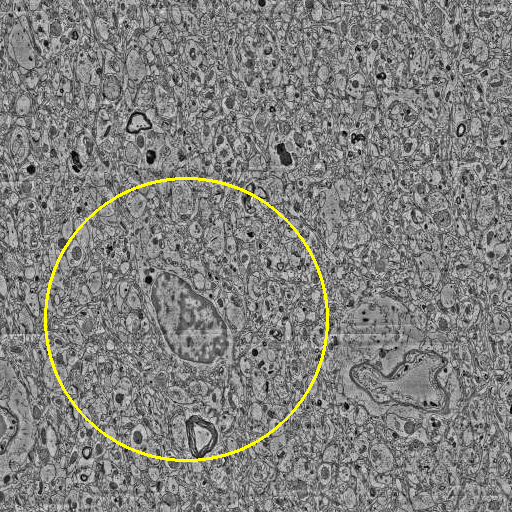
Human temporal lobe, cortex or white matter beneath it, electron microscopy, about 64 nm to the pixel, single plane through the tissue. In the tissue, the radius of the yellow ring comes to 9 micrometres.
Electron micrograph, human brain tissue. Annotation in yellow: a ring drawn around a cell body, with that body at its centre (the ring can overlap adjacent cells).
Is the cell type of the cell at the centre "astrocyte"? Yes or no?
No, it is of another type.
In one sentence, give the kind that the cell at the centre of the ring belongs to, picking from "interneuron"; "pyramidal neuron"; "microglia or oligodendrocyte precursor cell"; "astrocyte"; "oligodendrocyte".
Instead, the ringed cell here is a microglial cell or oligodendrocyte precursor cell.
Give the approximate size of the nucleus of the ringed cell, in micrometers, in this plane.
About 6 by 4 micrometers in this plane, so the nucleus is clearly longer than it is wide.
